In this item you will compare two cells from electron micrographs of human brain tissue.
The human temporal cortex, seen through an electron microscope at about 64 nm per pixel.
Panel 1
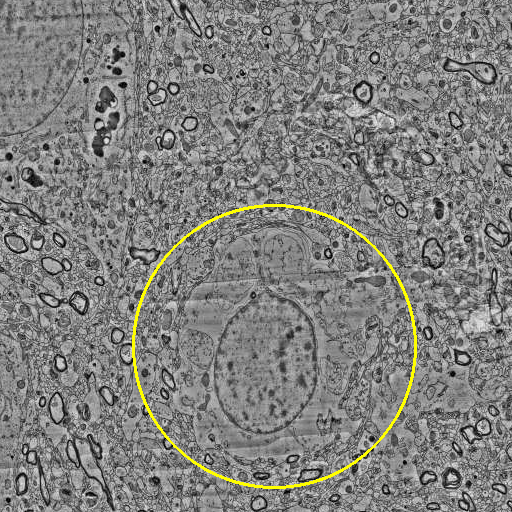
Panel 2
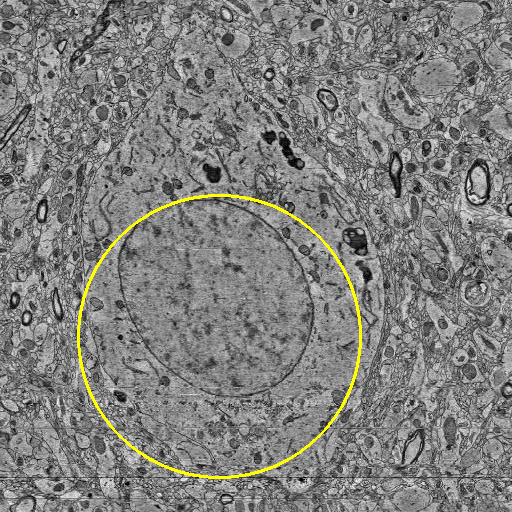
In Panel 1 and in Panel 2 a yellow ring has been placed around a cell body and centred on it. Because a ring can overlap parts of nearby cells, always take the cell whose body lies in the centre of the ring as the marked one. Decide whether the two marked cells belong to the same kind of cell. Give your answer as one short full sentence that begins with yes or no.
No, the two marked cells belong to two kinds of cell.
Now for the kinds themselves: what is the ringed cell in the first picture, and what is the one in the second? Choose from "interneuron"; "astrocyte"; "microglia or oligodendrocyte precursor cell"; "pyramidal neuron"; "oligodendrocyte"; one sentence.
Here the first cell is an astrocyte and the second cell is a pyramidal neuron.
